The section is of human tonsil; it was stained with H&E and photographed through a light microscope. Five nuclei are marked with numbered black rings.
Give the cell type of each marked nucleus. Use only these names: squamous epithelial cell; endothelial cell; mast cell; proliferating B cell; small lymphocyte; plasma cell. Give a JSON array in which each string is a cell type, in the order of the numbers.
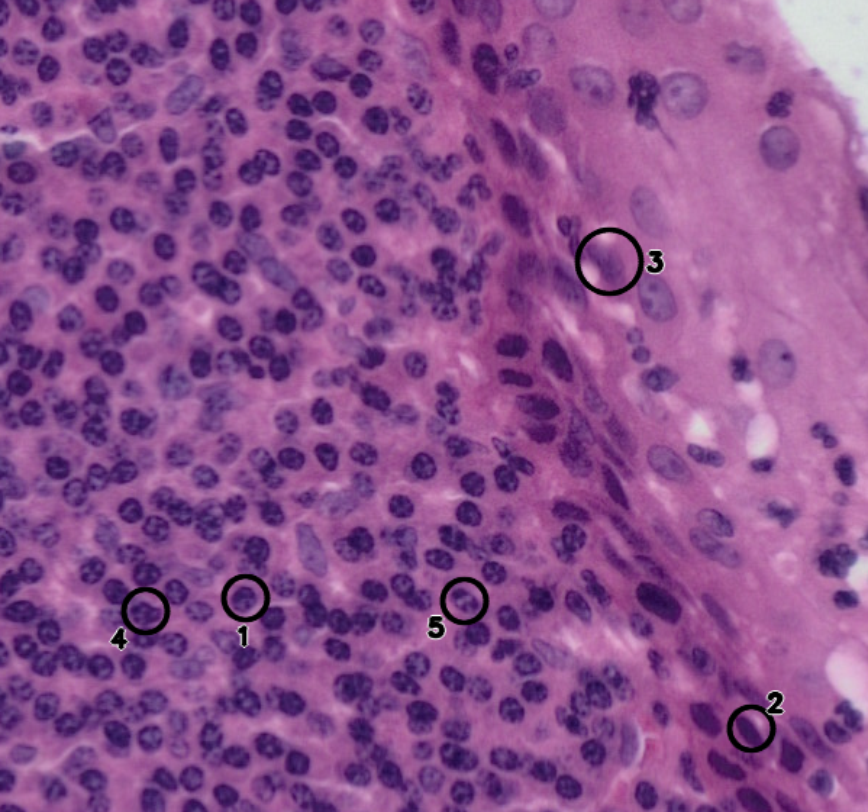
["plasma cell", "squamous epithelial cell", "squamous epithelial cell", "plasma cell", "plasma cell"]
